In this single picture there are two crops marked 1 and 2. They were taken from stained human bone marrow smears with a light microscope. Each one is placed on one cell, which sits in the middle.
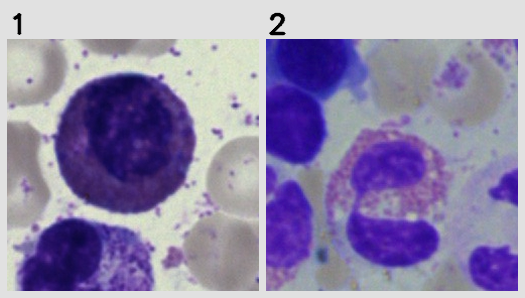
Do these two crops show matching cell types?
yes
